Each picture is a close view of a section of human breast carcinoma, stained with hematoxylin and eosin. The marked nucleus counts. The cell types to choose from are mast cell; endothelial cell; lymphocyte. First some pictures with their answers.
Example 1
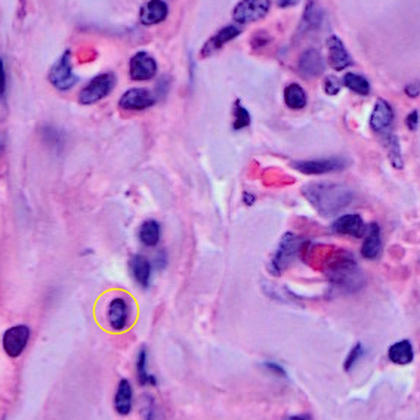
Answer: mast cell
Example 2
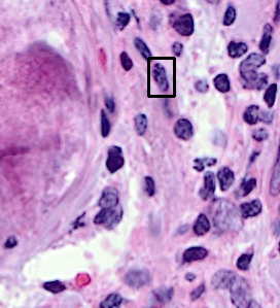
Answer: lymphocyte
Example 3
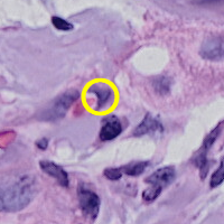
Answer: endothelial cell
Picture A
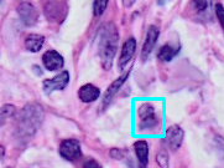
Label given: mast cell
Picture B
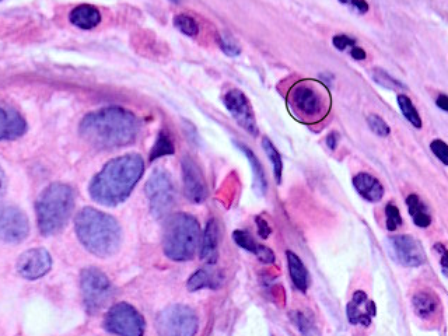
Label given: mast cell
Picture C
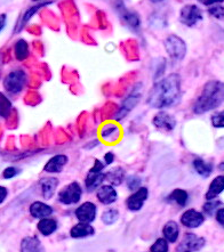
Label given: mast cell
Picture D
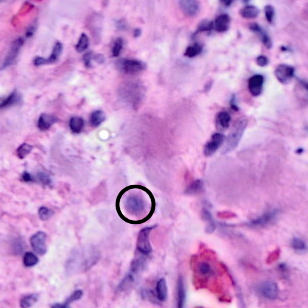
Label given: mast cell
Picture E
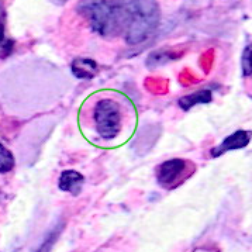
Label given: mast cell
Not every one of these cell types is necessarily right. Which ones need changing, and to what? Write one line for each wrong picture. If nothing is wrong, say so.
A: lymphocyte, not mast cell
C: endothelial cell, not mast cell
